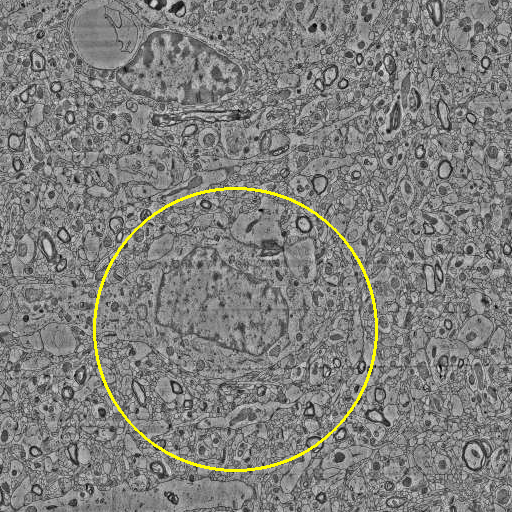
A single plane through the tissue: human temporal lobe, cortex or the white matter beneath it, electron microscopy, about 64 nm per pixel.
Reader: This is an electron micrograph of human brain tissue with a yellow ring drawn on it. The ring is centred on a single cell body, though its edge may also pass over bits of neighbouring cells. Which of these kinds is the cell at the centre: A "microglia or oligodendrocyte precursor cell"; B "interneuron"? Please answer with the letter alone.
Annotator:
B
